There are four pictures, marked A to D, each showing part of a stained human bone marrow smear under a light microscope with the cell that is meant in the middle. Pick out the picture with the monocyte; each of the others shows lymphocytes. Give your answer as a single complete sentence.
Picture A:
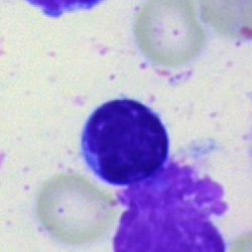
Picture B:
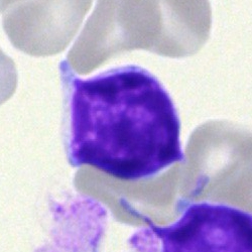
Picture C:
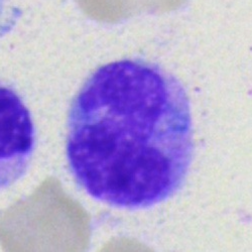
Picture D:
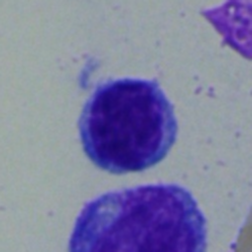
The cell in picture C is the monocyte.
